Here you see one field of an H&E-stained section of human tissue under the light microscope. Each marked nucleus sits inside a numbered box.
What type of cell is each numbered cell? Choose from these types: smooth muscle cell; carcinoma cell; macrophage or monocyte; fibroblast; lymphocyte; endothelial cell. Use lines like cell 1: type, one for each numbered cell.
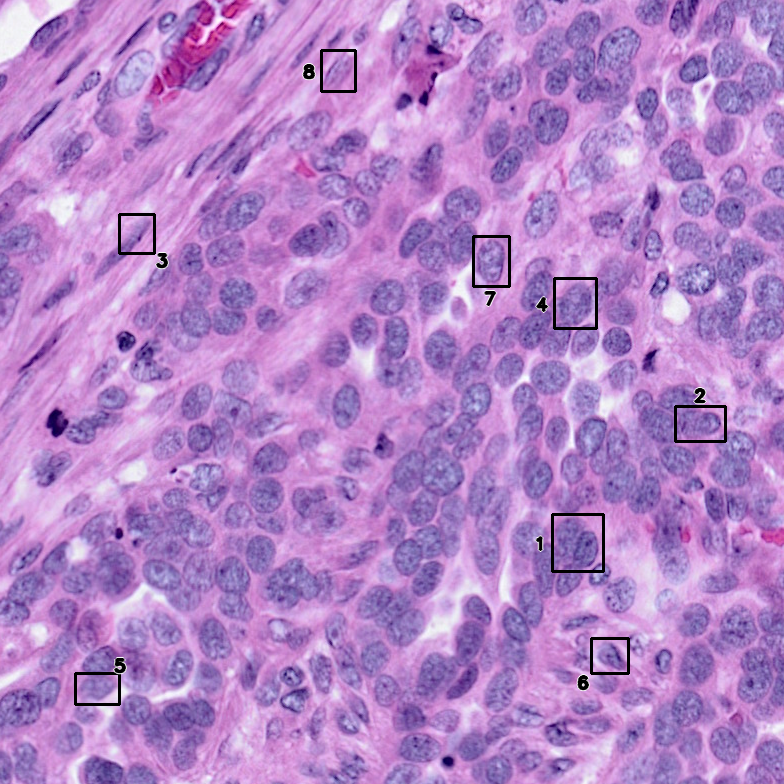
cell 1: carcinoma cell
cell 2: carcinoma cell
cell 3: fibroblast
cell 4: carcinoma cell
cell 5: carcinoma cell
cell 6: fibroblast
cell 7: carcinoma cell
cell 8: fibroblast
